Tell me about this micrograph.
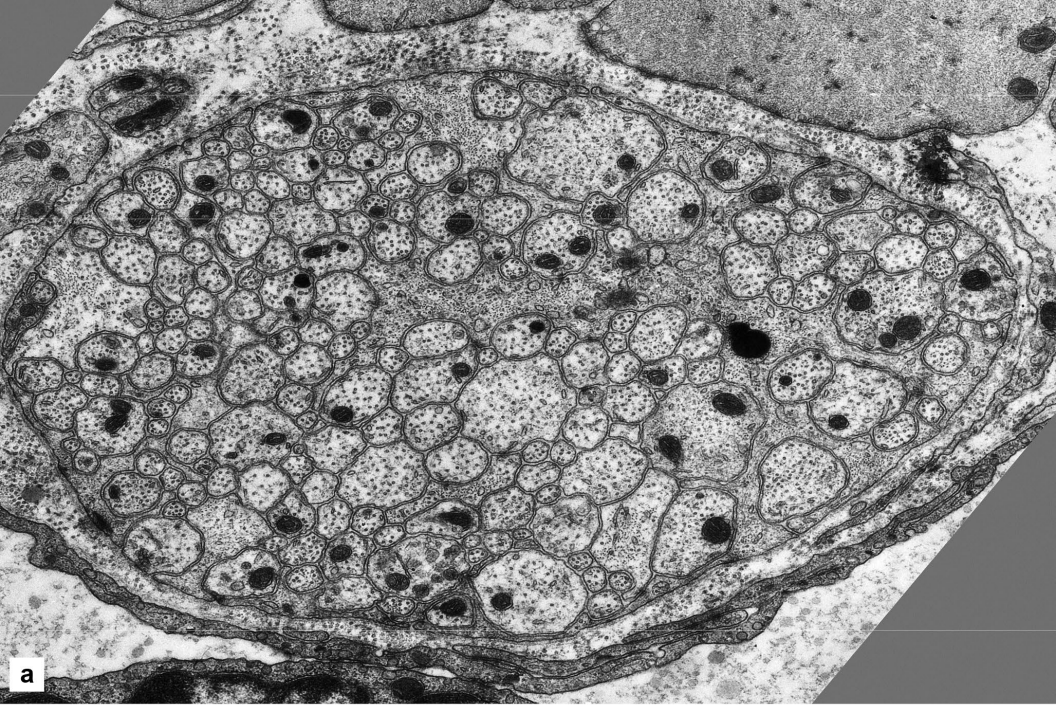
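This is a cross-section through a compact strand made of many small axons and thin glial processes. The axons appear as rounded, pale profiles filled with dotted microtubules and occasional dark mitochondria, varying widely in size. Thin irregular glial sheets run between groups of axons and reach the surface, but most axons touch only their neighbours. The whole strand is bounded by a thin basal lamina and surrounded by flattened cells.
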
